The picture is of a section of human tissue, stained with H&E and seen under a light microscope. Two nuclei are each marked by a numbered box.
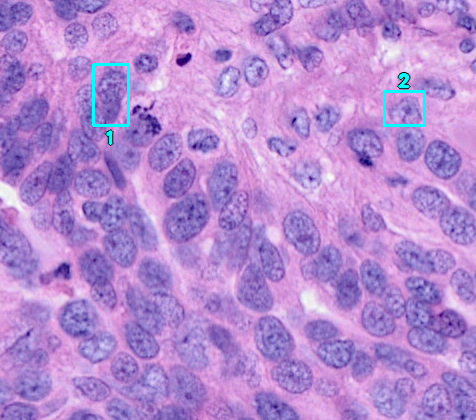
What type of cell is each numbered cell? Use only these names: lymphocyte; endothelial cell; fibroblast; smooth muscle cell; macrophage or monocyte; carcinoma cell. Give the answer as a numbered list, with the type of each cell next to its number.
1. carcinoma cell
2. fibroblast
